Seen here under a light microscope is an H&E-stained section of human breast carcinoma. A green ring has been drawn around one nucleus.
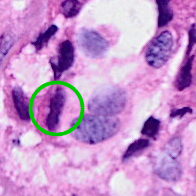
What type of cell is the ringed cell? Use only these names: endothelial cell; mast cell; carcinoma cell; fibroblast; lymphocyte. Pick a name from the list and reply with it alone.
carcinoma cell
